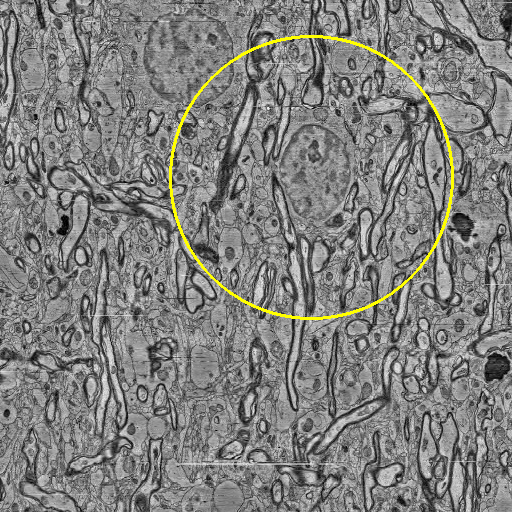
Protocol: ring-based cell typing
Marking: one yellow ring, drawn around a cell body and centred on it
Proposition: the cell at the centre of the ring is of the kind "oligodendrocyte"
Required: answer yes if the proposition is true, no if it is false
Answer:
yes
